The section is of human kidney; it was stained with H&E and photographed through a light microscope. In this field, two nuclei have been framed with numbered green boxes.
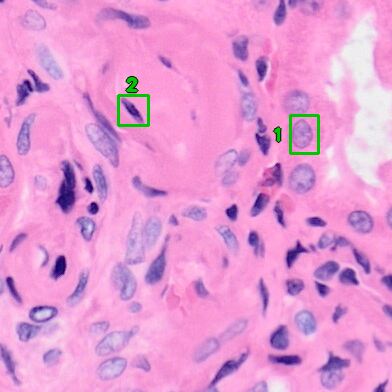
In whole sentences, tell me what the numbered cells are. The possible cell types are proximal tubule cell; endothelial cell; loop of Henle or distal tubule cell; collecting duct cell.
Cell 1 is a proximal tubule cell. Cell 2 is an endothelial cell.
